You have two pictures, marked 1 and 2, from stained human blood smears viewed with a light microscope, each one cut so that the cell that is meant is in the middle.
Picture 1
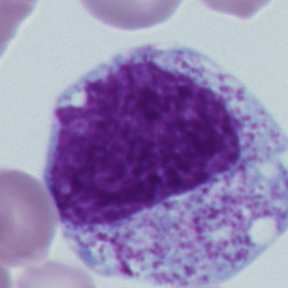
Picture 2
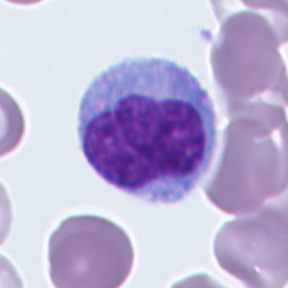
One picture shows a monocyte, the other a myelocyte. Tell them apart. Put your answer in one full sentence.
In picture 1 the cell is a myelocyte; in picture 2, a monocyte.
